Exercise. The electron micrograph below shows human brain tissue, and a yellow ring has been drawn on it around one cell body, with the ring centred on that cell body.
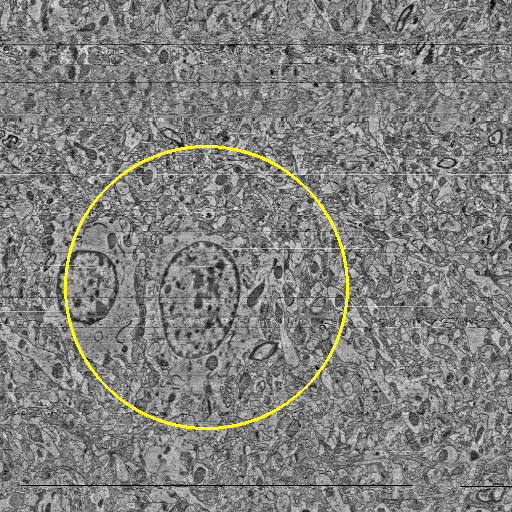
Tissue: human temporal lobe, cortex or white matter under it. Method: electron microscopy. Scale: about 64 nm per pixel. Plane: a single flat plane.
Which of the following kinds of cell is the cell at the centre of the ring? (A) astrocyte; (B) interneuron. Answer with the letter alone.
A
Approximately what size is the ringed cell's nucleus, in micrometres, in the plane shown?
About 8 by 5 micrometres; in this plane the nucleus is clearly longer than it is wide.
